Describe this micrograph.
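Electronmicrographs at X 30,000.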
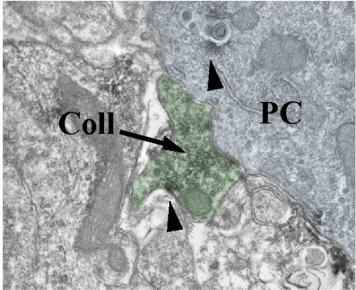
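Dark, electron-dense deposits lie in the cell body and at the bouton's edge. Membranous profiles and an elongated process lie beside the bouton.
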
